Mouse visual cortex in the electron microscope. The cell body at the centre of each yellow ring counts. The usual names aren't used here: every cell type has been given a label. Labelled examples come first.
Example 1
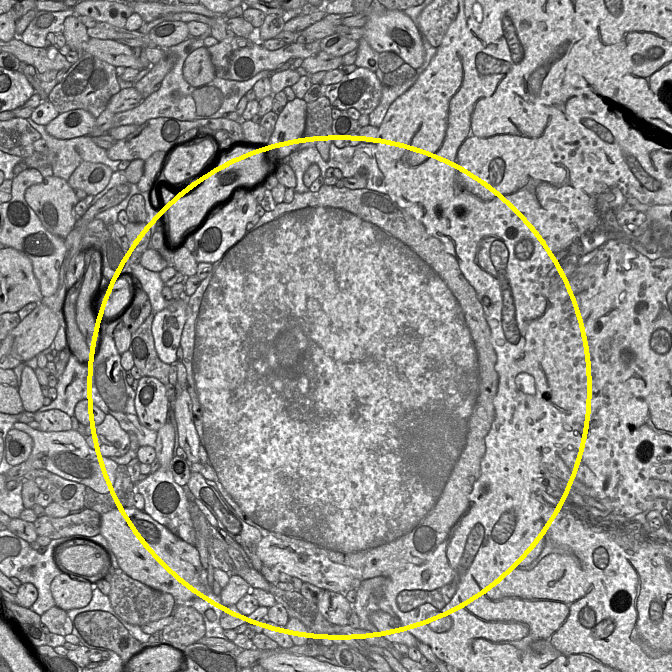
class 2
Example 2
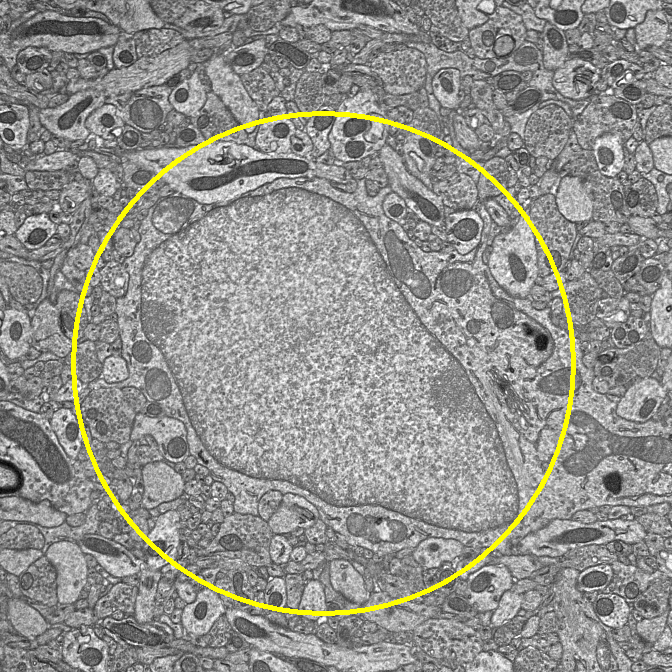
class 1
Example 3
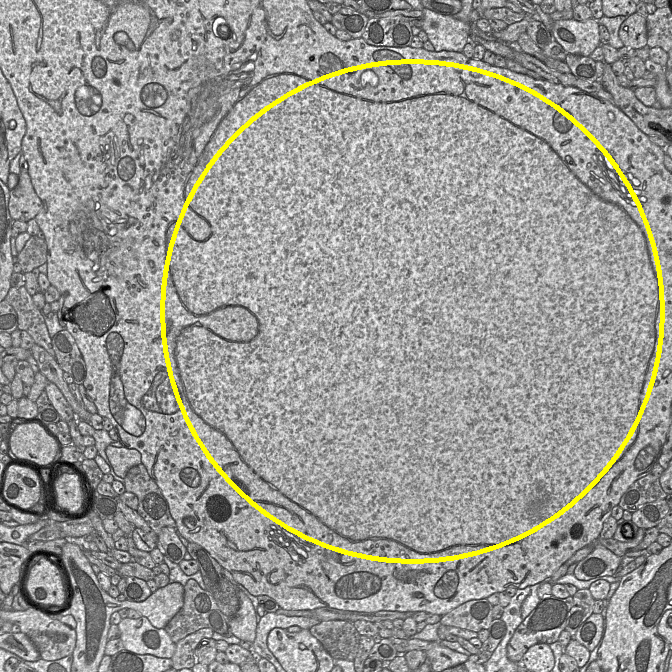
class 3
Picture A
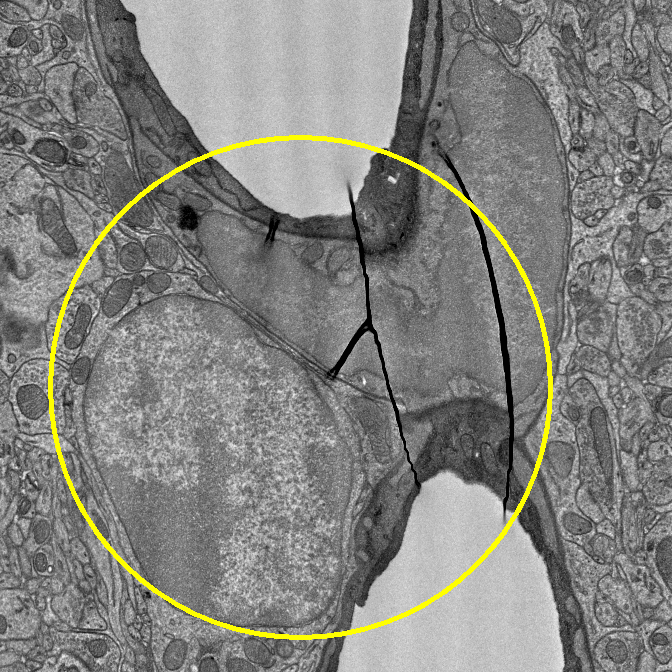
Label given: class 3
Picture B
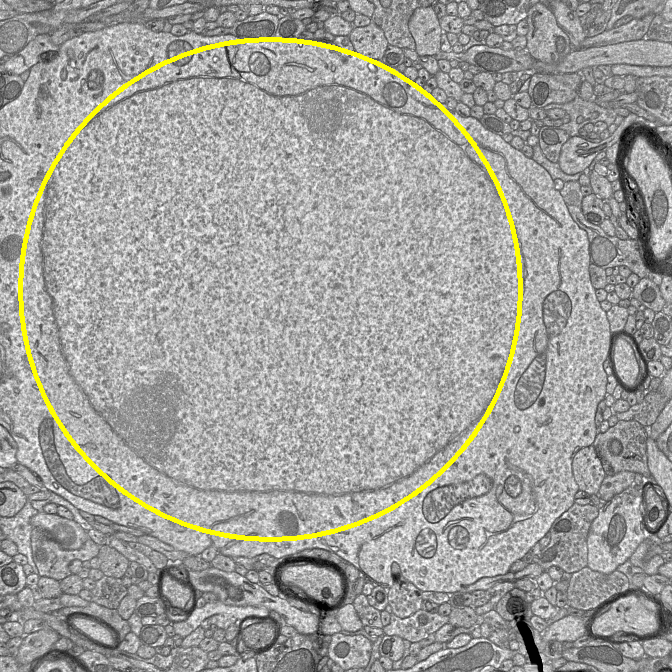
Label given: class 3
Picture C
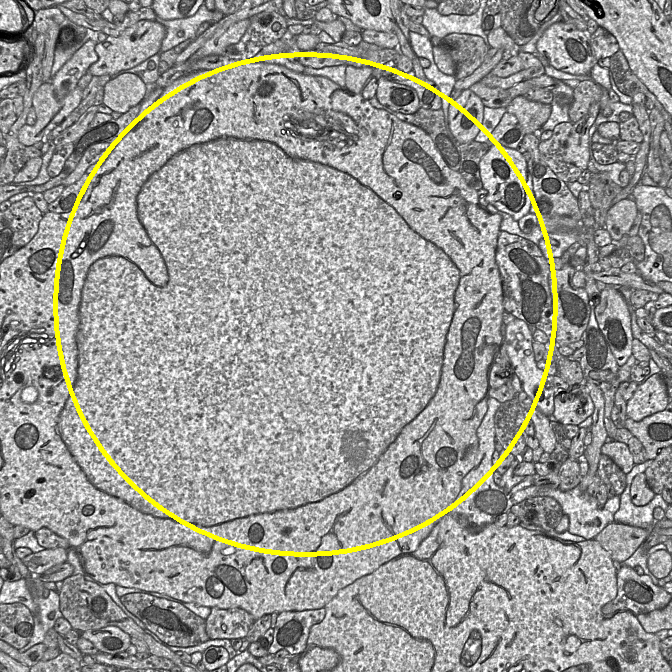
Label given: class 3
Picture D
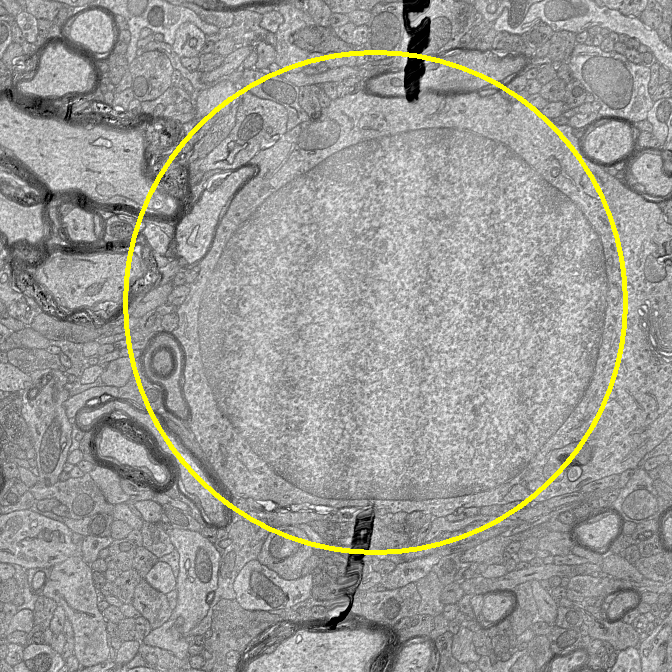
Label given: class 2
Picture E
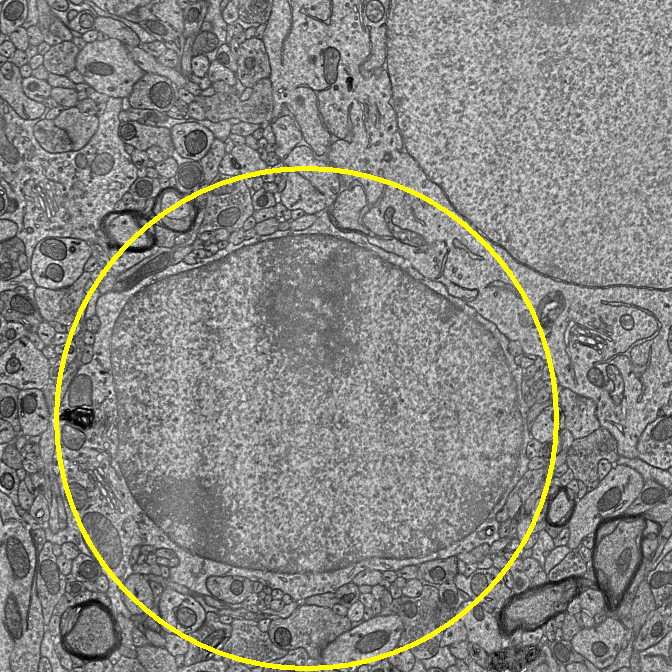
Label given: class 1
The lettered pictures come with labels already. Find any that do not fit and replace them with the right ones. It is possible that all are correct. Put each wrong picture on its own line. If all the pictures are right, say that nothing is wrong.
A is labelled class 3; correct label: class 2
